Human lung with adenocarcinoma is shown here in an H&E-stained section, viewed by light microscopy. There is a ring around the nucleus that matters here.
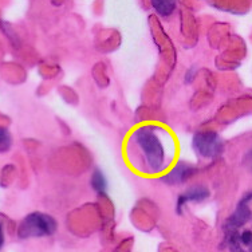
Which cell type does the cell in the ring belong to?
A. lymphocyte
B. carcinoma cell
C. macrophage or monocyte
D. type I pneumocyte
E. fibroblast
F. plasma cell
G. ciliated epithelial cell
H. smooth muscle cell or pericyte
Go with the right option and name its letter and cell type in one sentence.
Hey, it is option D: the cell in the ring is a type I pneumocyte.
